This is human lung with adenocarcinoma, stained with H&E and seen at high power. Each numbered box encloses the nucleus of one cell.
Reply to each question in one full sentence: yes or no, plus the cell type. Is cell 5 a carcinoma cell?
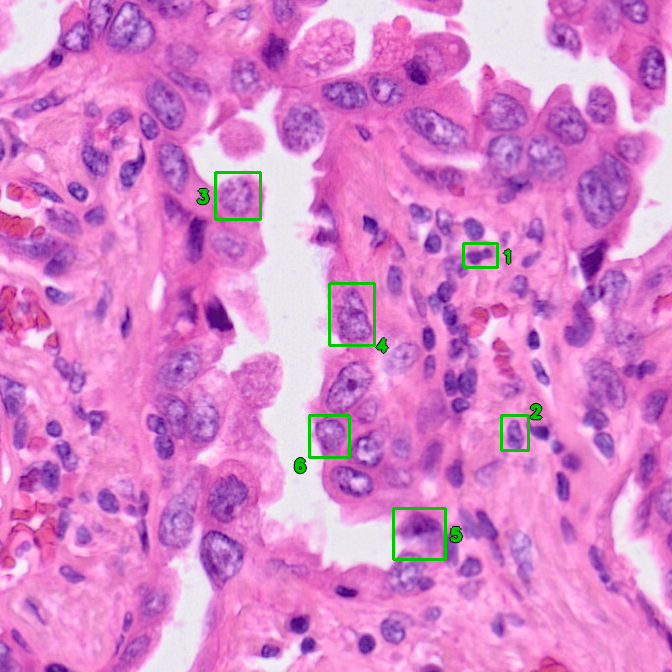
Yes, the cell marked by the number 5 is a carcinoma cell.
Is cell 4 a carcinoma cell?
Yes, the numbered cell 4 is identified as a carcinoma cell.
